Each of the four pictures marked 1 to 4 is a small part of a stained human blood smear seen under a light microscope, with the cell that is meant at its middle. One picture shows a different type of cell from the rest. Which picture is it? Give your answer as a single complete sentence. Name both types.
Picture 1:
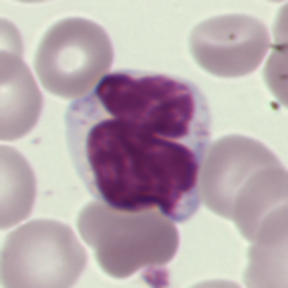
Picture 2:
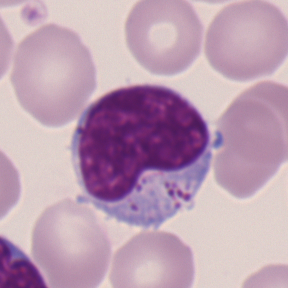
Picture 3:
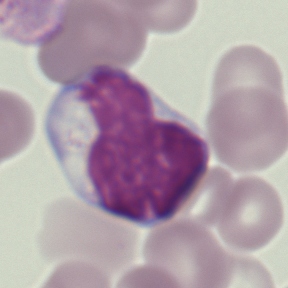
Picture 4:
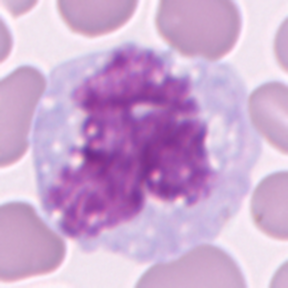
All pictures except 4 show large granular lymphocytes; picture 4 shows a monocyte.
